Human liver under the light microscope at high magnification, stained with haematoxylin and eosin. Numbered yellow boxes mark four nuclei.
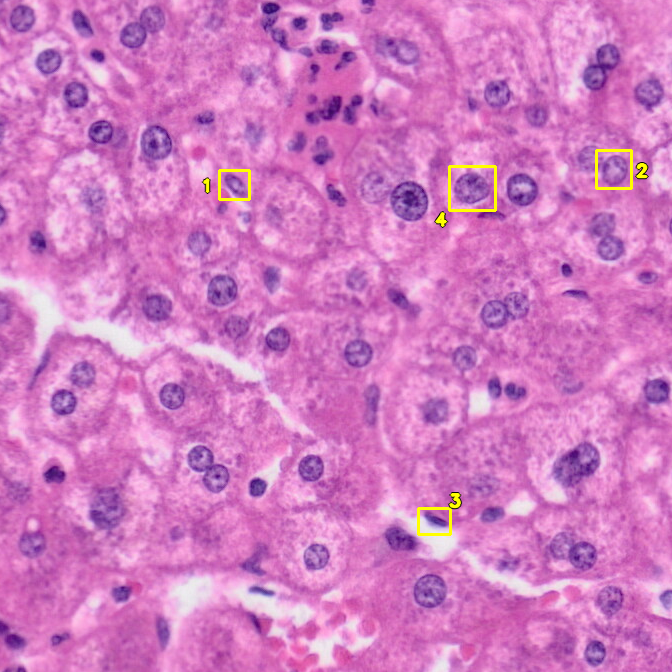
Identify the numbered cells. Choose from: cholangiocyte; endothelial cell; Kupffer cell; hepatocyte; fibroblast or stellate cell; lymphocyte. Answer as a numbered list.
1. Kupffer cell
2. hepatocyte
3. endothelial cell
4. hepatocyte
